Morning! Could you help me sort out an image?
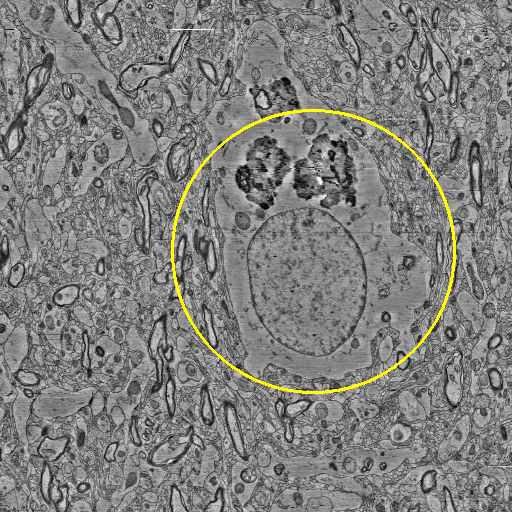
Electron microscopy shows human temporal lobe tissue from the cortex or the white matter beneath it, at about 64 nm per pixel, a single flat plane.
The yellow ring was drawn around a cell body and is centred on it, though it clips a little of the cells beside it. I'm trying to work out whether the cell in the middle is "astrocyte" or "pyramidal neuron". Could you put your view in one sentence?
The ringed cell body is that of an astrocyte.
